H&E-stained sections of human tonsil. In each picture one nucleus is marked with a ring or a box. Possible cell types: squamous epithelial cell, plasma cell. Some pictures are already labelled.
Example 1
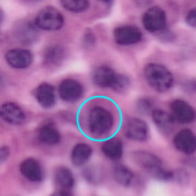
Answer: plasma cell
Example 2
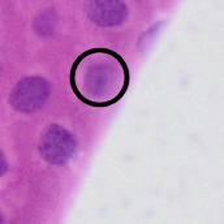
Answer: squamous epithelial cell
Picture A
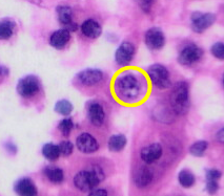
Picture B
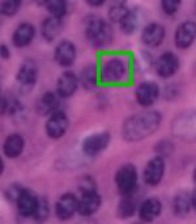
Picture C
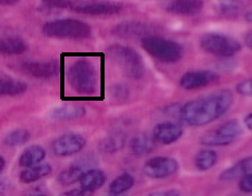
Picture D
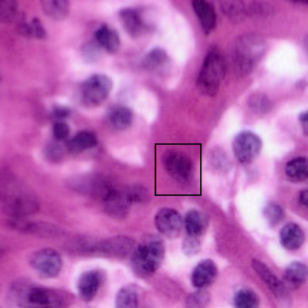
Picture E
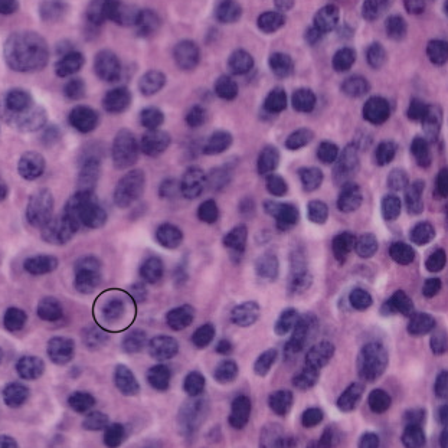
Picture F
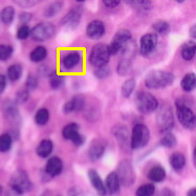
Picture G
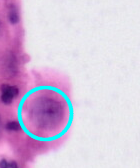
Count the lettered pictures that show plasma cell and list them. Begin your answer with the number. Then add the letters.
Count: 4 (A, B, E, F)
